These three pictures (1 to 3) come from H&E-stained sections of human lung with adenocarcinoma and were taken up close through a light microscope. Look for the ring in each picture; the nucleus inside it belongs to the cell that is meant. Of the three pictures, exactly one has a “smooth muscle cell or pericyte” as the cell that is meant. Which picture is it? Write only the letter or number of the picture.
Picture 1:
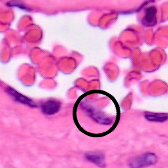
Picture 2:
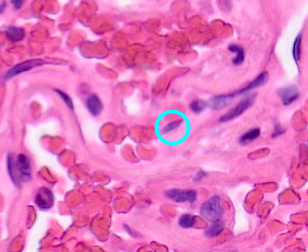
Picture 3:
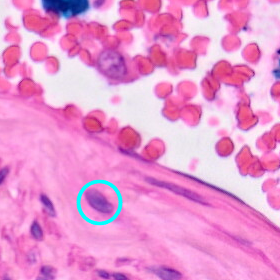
3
